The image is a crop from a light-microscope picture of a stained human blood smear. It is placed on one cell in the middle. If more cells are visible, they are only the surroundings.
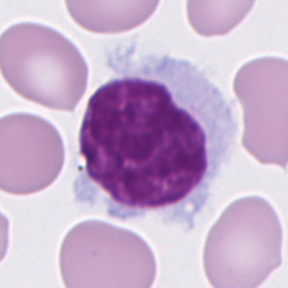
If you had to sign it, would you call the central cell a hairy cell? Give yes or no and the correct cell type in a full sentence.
Yes, the cell found in the center of the crop is a hairy cell.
